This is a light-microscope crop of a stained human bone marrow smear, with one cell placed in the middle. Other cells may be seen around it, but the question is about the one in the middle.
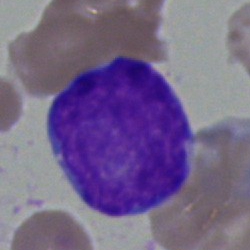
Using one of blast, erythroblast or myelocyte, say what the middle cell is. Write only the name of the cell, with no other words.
blast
